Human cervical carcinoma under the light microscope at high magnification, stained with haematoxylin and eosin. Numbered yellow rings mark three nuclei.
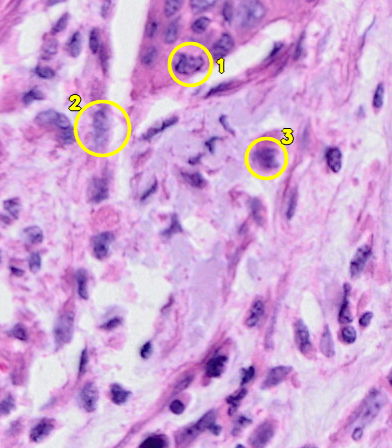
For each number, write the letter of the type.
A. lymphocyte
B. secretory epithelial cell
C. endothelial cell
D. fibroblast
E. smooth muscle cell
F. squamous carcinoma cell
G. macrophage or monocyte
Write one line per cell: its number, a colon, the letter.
1: F
2: D
3: G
